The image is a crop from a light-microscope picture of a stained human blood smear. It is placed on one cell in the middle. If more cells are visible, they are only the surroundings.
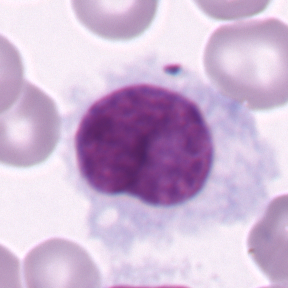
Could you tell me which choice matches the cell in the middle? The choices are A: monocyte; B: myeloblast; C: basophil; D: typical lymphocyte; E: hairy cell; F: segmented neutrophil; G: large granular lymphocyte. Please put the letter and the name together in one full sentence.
The cell in the middle is a hairy cell, so option E is correct.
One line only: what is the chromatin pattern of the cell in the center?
Coarse clumps are absent, and the chromatin is fine throughout.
